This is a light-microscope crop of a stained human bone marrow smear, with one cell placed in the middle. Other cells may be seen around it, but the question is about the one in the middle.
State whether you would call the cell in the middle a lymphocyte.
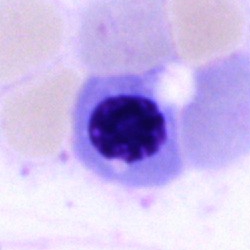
no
